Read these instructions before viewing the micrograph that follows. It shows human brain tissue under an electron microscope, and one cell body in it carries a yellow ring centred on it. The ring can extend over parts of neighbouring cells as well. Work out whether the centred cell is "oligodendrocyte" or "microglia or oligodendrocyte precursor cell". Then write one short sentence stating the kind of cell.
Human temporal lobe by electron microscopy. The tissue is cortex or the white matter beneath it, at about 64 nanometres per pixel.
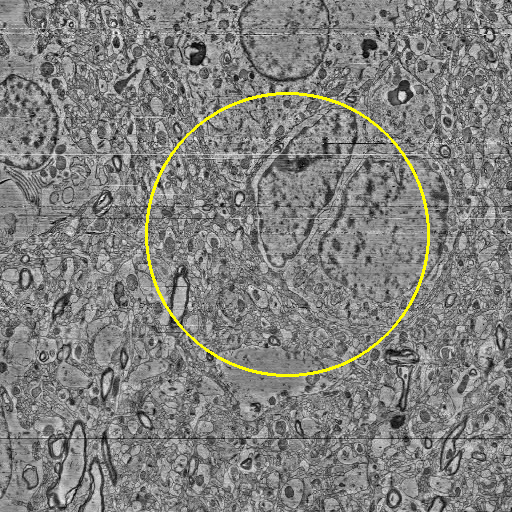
The ringed cell is a microglial cell or oligodendrocyte precursor cell.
